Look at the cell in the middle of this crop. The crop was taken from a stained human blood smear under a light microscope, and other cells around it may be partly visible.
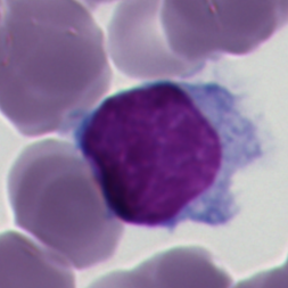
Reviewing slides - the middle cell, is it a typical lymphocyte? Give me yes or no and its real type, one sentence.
Yes, the cell at the centre of the field is a typical lymphocyte.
